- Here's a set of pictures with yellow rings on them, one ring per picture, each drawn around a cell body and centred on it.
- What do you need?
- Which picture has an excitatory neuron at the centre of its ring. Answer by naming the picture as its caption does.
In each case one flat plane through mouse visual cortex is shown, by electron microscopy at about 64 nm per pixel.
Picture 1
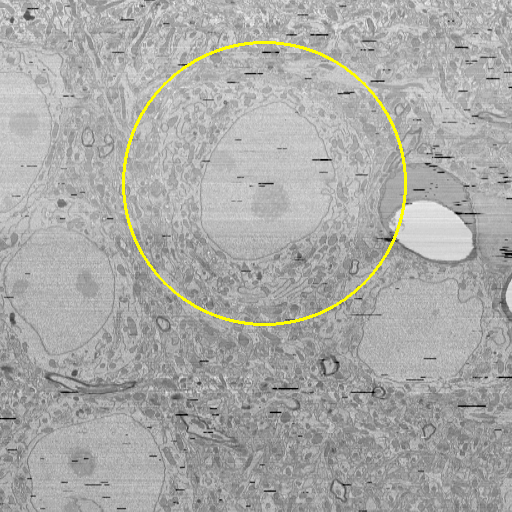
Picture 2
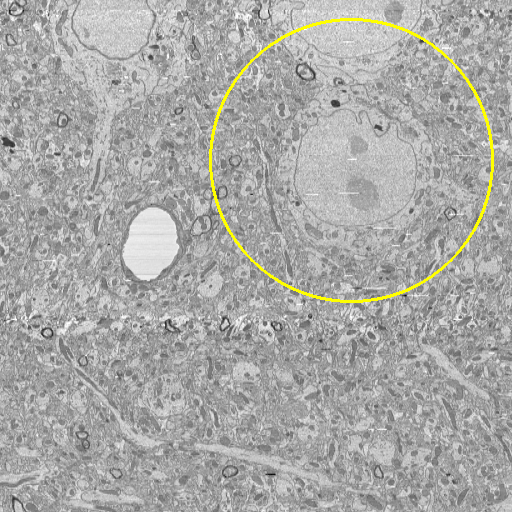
Picture 2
